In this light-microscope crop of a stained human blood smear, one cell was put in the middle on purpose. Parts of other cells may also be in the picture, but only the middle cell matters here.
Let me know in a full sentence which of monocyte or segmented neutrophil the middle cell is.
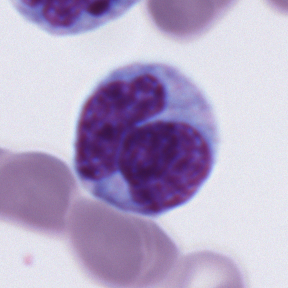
To answer, the cell in the center of the crop is a monocyte.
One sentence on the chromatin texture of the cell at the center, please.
Here the nuclear chromatin is coarsely clumped.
